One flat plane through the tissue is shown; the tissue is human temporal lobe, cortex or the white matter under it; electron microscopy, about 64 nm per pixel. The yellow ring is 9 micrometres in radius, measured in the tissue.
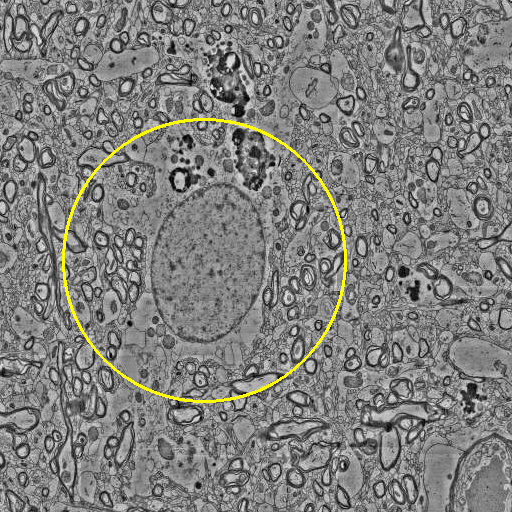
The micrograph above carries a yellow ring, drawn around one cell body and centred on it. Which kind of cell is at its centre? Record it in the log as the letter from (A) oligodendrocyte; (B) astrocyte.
B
